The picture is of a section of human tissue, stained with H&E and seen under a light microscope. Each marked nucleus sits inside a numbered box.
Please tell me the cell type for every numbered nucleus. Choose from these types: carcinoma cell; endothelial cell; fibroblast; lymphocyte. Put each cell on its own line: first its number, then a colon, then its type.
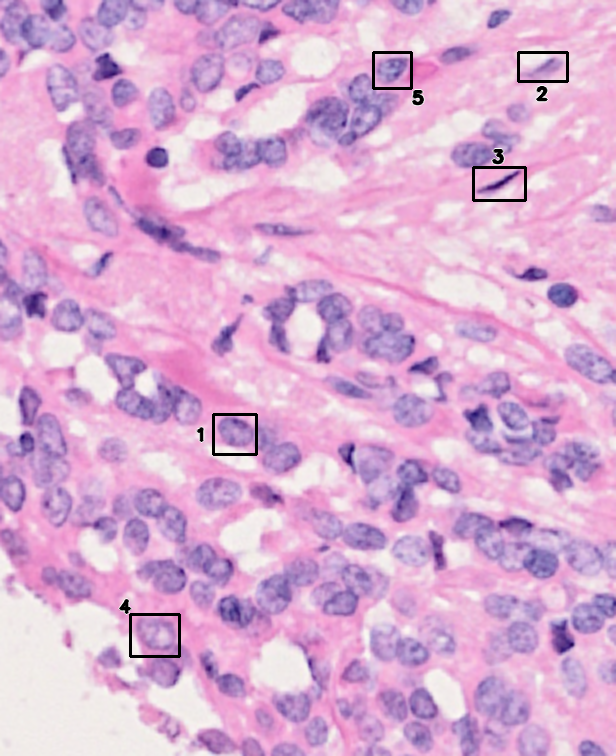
1: carcinoma cell
2: fibroblast
3: fibroblast
4: carcinoma cell
5: endothelial cell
